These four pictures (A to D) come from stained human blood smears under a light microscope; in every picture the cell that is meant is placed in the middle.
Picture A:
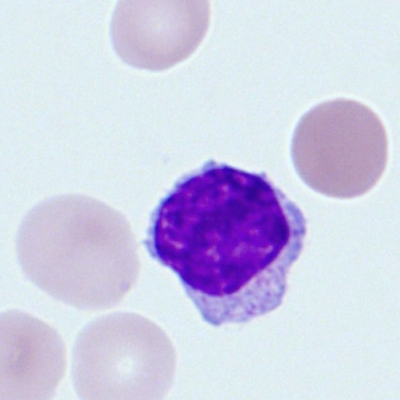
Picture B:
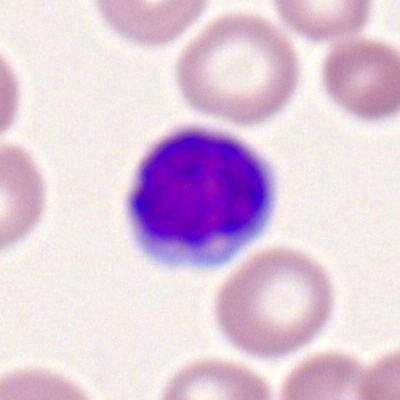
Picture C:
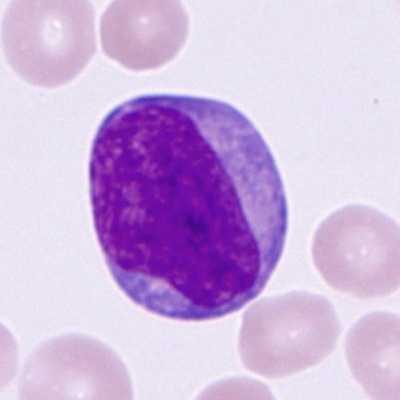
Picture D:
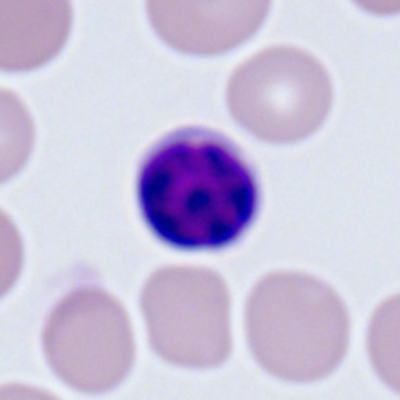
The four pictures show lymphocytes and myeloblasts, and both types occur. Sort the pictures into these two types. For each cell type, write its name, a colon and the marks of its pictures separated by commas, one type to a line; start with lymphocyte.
lymphocyte: A, B, D
myeloblast: C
